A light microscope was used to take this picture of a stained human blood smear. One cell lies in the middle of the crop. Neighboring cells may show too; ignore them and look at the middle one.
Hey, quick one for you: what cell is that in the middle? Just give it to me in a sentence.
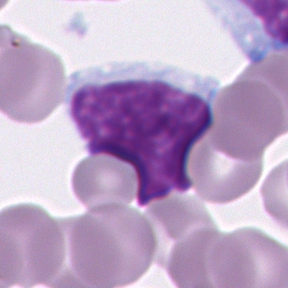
The cell occupying the middle of the crop is a typical lymphocyte.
